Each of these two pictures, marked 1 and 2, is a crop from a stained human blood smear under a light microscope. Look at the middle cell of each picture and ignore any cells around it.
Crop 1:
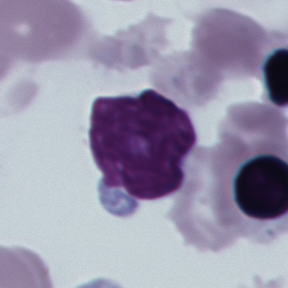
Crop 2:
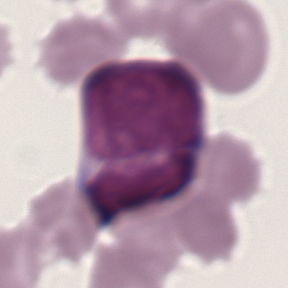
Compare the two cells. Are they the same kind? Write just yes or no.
no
